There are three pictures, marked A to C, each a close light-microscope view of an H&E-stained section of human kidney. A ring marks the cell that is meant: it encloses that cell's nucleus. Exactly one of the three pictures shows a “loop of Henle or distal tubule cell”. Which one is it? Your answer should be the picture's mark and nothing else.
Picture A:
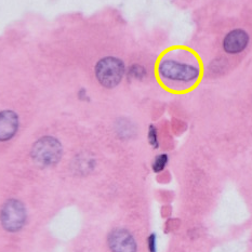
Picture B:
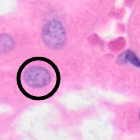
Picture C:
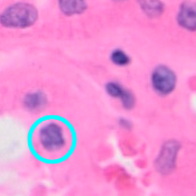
C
